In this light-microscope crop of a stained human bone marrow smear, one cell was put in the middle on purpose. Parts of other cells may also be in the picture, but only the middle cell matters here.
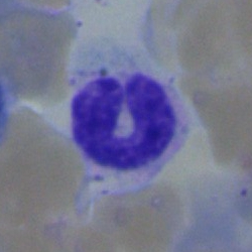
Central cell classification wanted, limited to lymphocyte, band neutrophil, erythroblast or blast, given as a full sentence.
For this crop, the cell in the middle is a band neutrophil.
